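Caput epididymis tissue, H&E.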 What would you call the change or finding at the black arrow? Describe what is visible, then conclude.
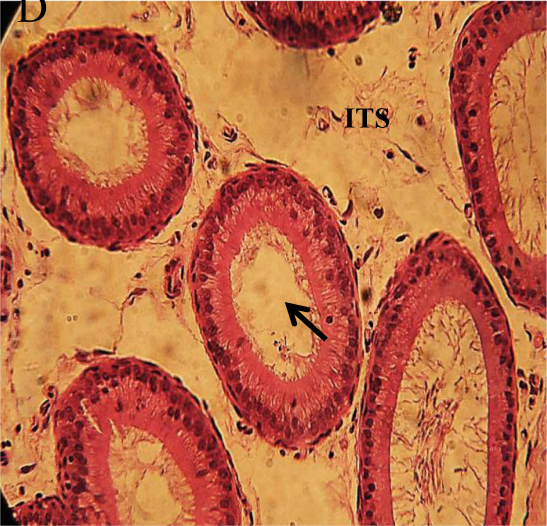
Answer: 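The arrow points into the centre of a tubule that holds only pale, faint material. No dense mass of dark sperm heads fills the tubule centre. That points to this answer: empty lumen.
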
